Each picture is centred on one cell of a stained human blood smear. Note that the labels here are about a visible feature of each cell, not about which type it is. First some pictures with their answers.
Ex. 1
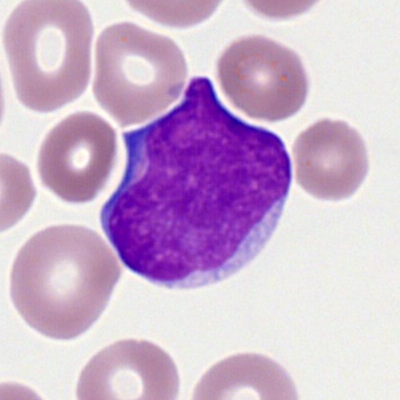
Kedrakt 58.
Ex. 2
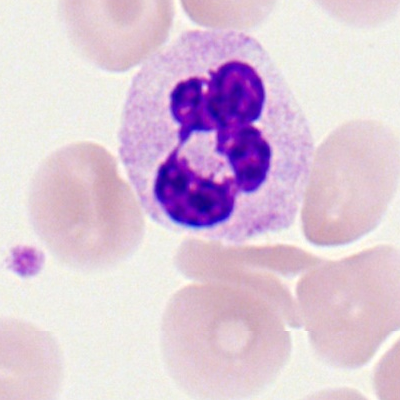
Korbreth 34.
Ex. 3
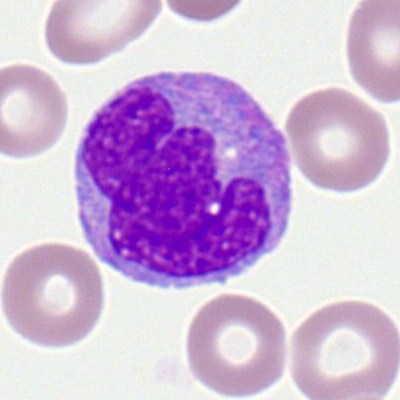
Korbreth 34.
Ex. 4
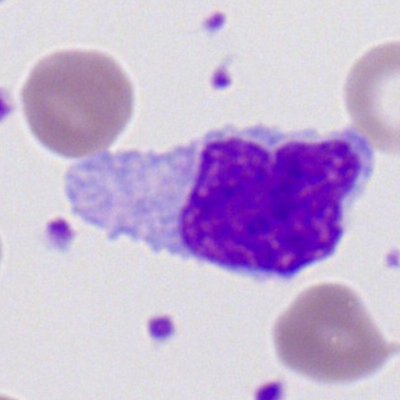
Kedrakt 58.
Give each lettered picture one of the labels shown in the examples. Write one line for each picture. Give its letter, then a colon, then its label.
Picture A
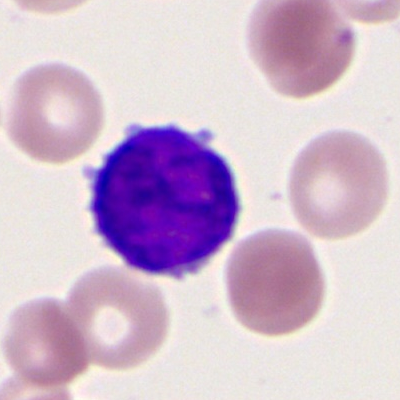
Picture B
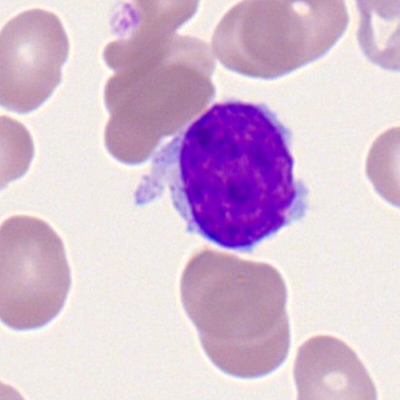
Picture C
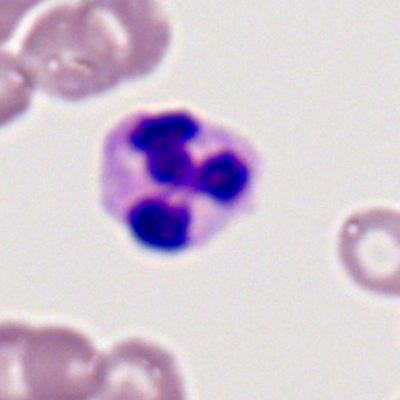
A: Kedrakt 58.
B: Kedrakt 58.
C: Korbreth 34.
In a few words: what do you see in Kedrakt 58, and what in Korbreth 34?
Seen in Kedrakt 58: ragged outline or projections; seen in Korbreth 34: smooth outline.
